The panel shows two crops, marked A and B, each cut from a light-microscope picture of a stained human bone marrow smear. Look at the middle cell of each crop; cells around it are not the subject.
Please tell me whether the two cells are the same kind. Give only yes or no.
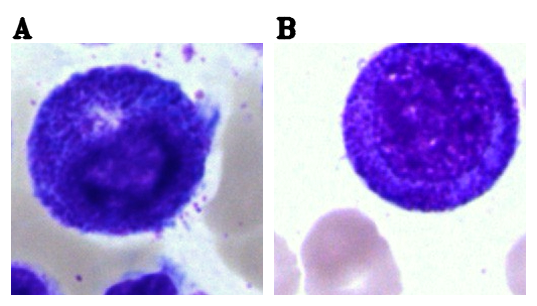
yes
